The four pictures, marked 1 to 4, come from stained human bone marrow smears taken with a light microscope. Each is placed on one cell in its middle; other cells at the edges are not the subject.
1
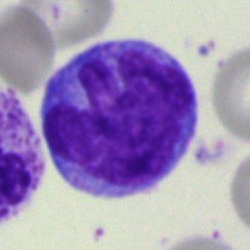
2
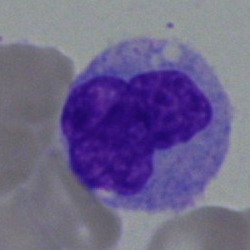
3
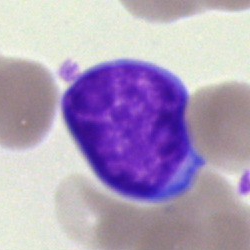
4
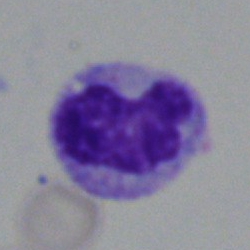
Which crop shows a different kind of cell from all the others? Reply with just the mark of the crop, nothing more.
3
